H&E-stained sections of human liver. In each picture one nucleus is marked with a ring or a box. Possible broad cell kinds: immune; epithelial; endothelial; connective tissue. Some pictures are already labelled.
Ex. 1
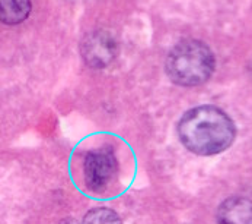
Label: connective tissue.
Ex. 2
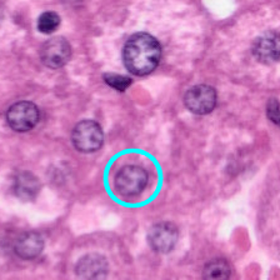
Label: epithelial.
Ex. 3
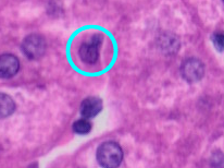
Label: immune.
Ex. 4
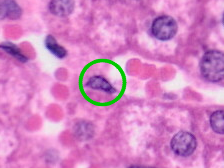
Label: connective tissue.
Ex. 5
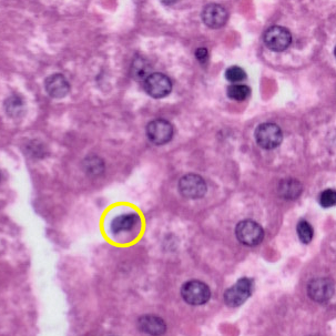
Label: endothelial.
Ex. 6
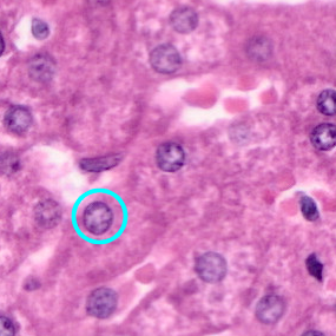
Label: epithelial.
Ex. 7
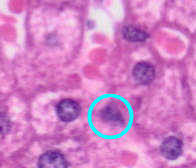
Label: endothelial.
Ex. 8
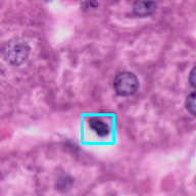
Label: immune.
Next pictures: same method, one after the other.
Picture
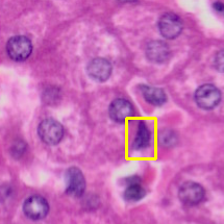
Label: connective tissue.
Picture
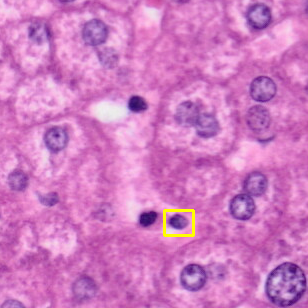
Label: immune.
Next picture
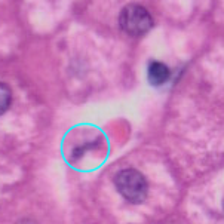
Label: immune.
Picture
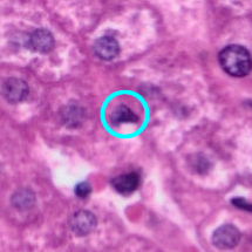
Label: endothelial.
